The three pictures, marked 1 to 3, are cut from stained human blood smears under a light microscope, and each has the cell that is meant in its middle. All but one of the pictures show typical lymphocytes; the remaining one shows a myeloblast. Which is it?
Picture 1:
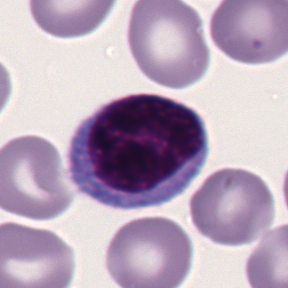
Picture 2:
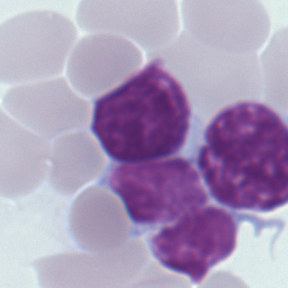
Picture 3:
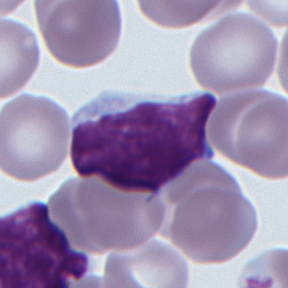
2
